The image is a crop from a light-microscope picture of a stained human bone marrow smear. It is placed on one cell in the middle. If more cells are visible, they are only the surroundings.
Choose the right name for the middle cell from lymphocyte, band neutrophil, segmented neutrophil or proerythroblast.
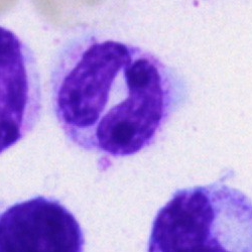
segmented neutrophil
